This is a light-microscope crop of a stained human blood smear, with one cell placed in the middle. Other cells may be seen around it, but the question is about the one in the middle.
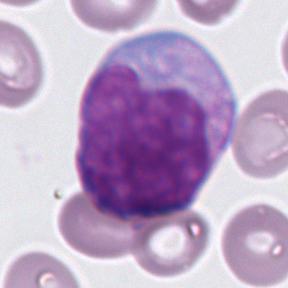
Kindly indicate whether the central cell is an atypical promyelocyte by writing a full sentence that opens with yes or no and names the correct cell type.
Yes, the identification of the central cell as an atypical promyelocyte is correct.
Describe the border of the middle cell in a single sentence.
The border of this cell runs smooth and free of any projections.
